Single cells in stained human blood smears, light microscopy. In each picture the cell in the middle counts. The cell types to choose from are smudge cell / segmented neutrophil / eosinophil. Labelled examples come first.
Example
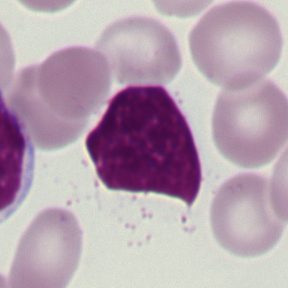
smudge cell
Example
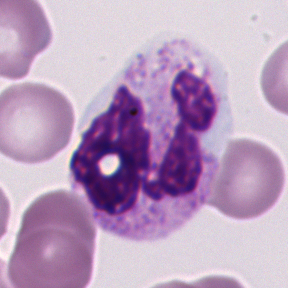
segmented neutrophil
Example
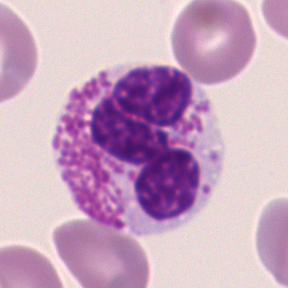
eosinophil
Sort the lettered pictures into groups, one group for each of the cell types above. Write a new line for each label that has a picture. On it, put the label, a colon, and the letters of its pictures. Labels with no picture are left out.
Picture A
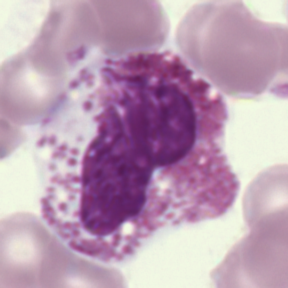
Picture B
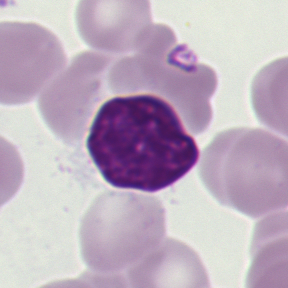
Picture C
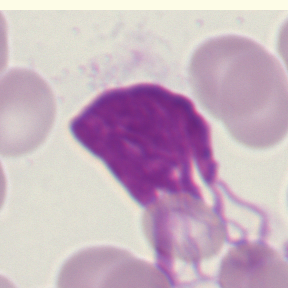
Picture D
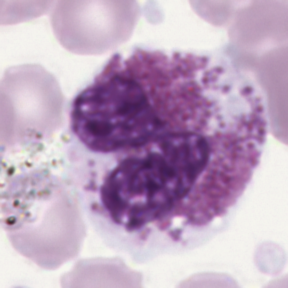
smudge cell: B, C
eosinophil: A, D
